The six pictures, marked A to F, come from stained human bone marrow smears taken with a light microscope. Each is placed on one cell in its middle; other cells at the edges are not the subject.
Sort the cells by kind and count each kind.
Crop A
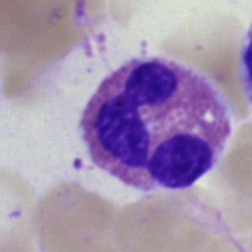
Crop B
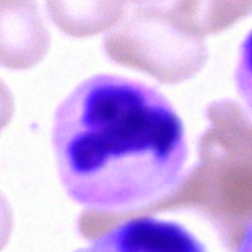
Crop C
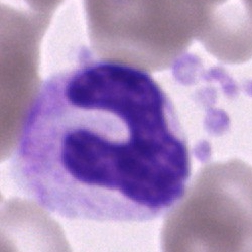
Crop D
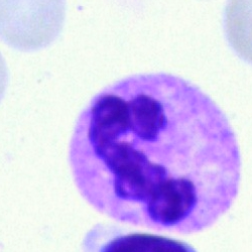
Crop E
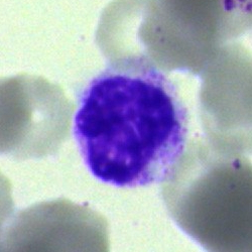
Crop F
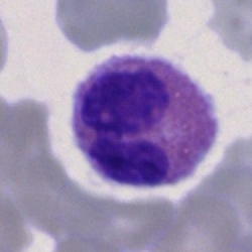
eosinophil: 2
segmented neutrophil: 2
band neutrophil: 2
